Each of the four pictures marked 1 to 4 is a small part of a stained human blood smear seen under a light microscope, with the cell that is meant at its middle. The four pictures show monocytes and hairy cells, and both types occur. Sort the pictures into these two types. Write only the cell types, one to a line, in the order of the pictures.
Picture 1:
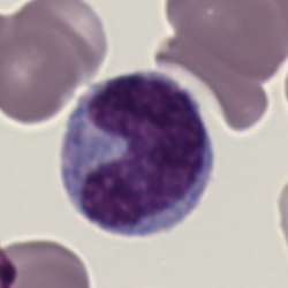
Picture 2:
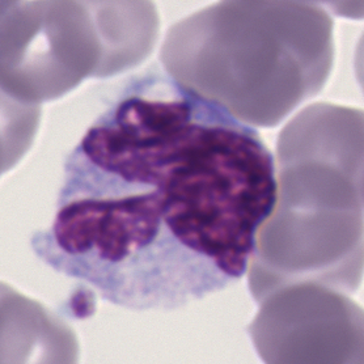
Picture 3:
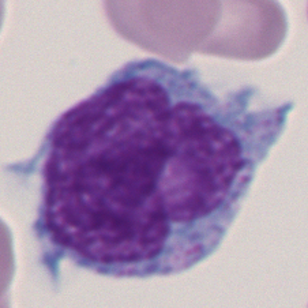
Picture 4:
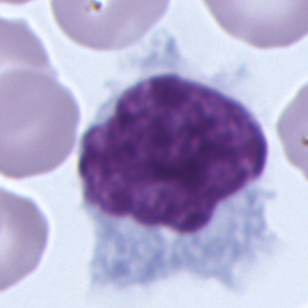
monocyte
monocyte
monocyte
hairy cell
